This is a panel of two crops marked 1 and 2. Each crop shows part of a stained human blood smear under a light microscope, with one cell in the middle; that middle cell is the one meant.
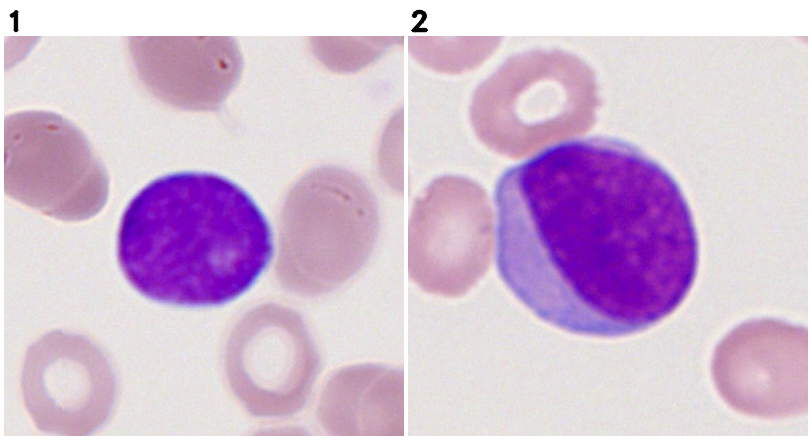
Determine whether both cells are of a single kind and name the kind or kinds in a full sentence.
Yes, the crops both have myeloblasts in the middle.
